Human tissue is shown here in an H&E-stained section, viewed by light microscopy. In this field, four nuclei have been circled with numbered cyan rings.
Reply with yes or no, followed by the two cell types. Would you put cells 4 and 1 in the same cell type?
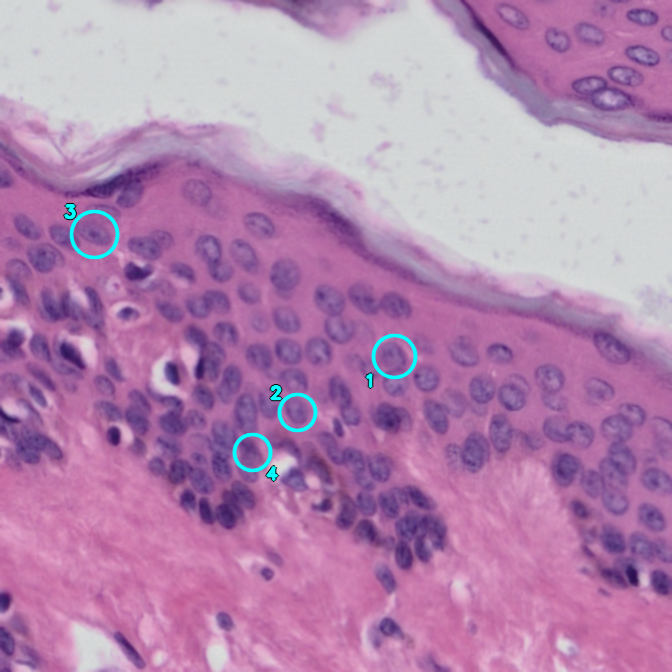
No, cell 4 is a basal keratinocyte and cell 1 is a suprabasal keratinocyte.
